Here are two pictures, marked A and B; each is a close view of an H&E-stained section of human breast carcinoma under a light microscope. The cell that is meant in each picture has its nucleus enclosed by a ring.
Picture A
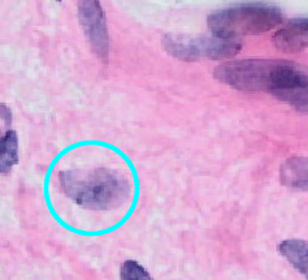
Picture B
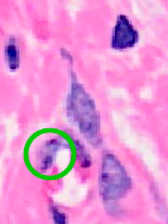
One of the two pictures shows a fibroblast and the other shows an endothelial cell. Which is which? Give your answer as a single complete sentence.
It is picture A that shows a fibroblast, and picture B that shows an endothelial cell.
